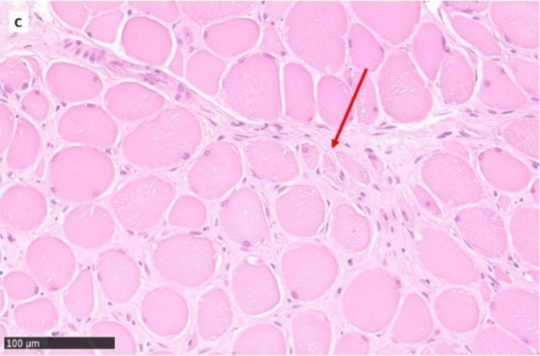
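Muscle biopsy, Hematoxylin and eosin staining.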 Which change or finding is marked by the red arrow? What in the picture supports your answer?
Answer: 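Round and angular atrophic fibers. The arrow points to small fibers much smaller than their neighbours. The small fibers have angular or rounded outlines. Pale pink connective tissue between fibers is widened around them.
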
